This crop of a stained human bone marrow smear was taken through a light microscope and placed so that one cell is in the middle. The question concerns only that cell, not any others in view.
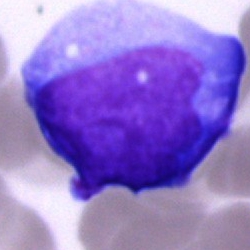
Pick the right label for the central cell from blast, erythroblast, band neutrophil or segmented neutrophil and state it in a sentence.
This particular crop is centered on a blast.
